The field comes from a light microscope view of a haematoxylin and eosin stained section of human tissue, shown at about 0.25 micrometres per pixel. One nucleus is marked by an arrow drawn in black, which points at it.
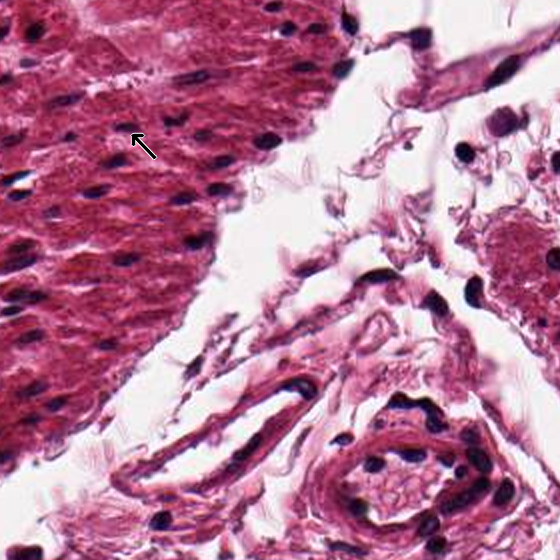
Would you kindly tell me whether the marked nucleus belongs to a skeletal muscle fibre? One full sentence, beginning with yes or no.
No, the marked nucleus does not come from a skeletal muscle fibre.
